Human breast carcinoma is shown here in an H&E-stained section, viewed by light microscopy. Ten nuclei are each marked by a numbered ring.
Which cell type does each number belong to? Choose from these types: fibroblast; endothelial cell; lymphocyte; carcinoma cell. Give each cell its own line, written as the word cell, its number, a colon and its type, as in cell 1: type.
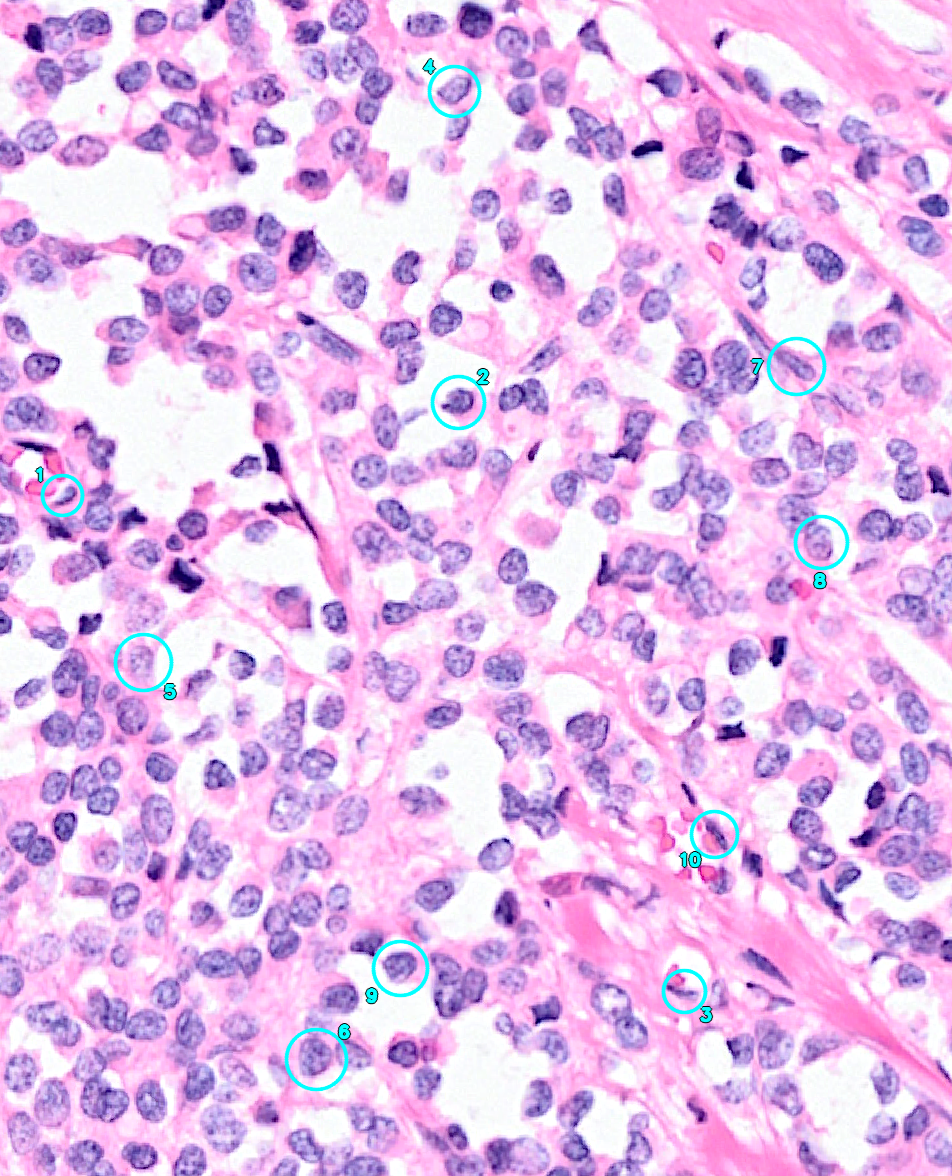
cell 1: endothelial cell
cell 2: carcinoma cell
cell 3: endothelial cell
cell 4: carcinoma cell
cell 5: carcinoma cell
cell 6: carcinoma cell
cell 7: endothelial cell
cell 8: carcinoma cell
cell 9: carcinoma cell
cell 10: endothelial cell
